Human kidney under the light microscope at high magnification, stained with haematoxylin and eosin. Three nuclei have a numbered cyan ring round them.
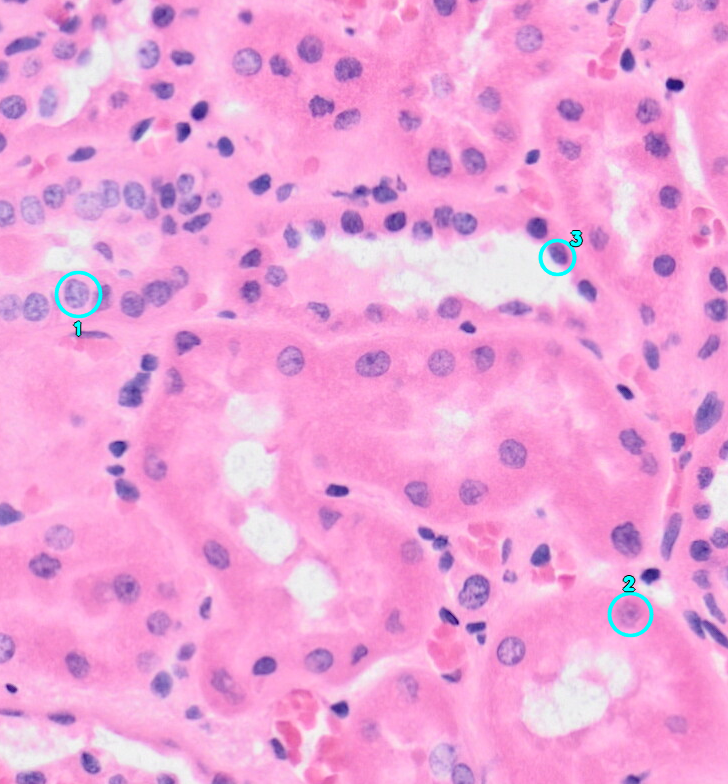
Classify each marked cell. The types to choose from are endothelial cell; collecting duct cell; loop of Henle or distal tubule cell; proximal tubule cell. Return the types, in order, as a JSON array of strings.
["collecting duct cell", "proximal tubule cell", "loop of Henle or distal tubule cell"]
